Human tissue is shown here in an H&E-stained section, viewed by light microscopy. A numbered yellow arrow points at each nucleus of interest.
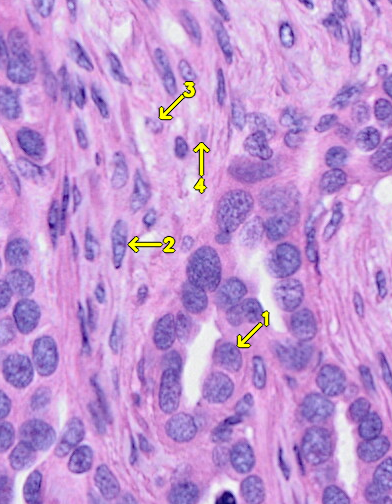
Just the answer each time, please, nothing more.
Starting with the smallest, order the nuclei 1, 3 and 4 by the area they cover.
4, 3, 1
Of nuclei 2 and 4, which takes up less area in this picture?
4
